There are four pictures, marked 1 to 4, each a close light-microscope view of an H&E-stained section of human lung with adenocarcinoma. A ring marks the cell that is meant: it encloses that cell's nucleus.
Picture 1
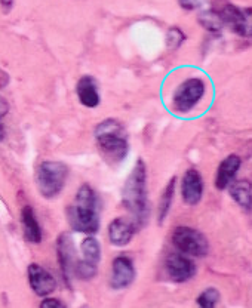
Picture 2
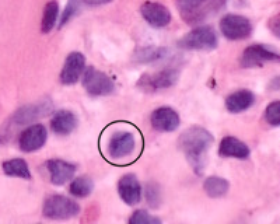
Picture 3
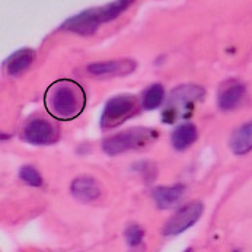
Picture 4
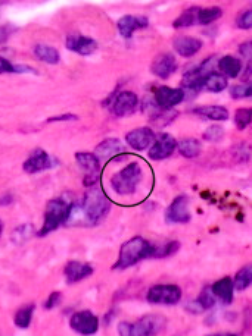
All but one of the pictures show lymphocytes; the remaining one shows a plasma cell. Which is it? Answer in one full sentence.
The cell in picture 3 is the plasma cell.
